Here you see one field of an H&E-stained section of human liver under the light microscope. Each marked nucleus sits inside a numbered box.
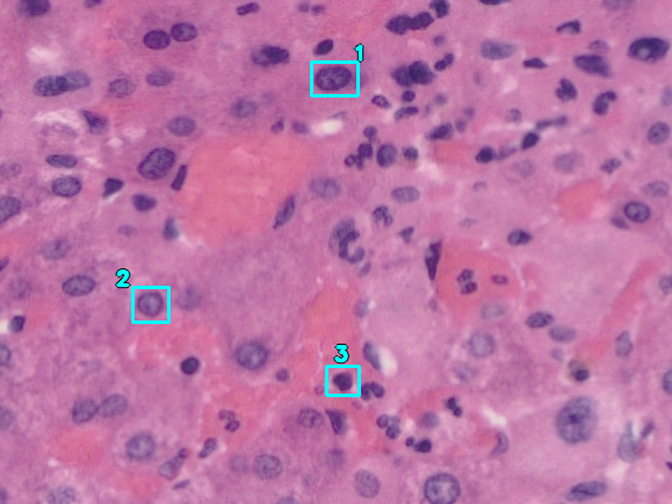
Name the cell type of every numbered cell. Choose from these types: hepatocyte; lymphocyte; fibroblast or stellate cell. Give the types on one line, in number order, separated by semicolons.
hepatocyte; hepatocyte; lymphocyte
